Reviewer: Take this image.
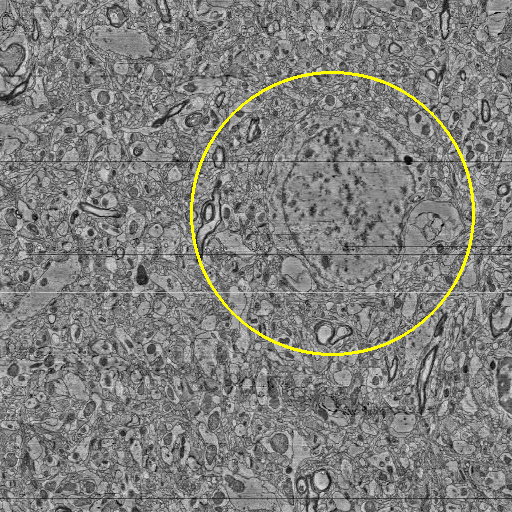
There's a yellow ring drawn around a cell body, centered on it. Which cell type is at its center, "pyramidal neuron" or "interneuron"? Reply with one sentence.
At the center of the yellow ring is an interneuron.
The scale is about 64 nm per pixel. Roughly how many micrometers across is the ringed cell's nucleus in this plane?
Roughly 11 micrometres by 9 micrometres, in this plane.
